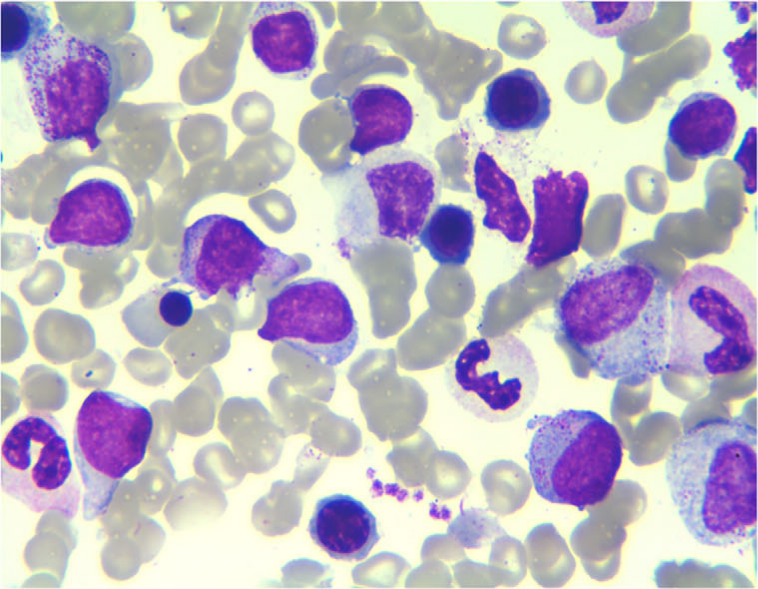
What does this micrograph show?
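This bone marrow smear is crowded with nucleated marrow cells, most of them of the granulocytic line, set among pale grey-pink red cells. Many cells are medium to large, with round, oval or indented purple nuclei of fairly open chromatin and a rim of pale blue-grey to lilac cytoplasm that holds fine reddish-purple granules. A few more mature cells have curved band-shaped or segmented nuclei. Scattered among them are smaller cells with dense, dark, round nuclei, and a small clump of purple granular fragments lies among the red cells near the bottom.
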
